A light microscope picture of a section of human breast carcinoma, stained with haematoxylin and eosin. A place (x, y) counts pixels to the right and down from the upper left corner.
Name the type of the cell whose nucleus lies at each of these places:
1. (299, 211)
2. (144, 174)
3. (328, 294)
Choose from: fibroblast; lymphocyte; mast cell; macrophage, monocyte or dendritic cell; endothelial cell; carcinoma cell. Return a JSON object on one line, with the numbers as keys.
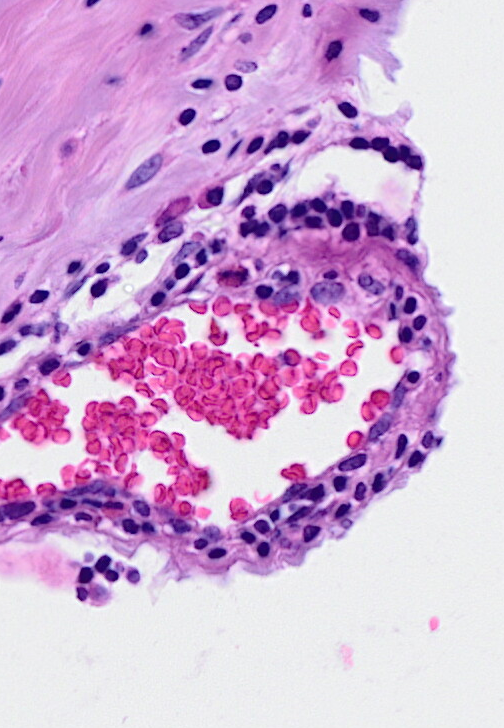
{"1": "lymphocyte", "2": "fibroblast", "3": "endothelial cell"}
